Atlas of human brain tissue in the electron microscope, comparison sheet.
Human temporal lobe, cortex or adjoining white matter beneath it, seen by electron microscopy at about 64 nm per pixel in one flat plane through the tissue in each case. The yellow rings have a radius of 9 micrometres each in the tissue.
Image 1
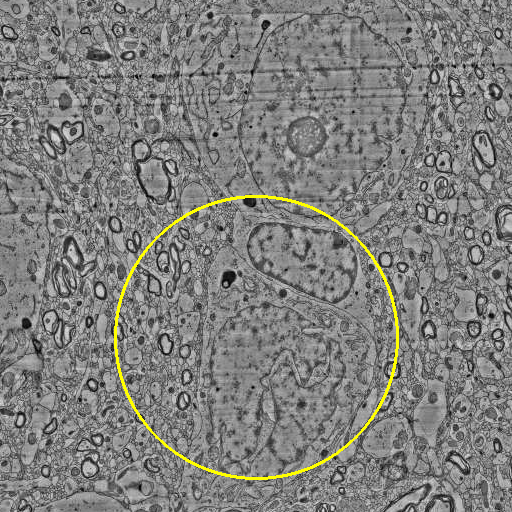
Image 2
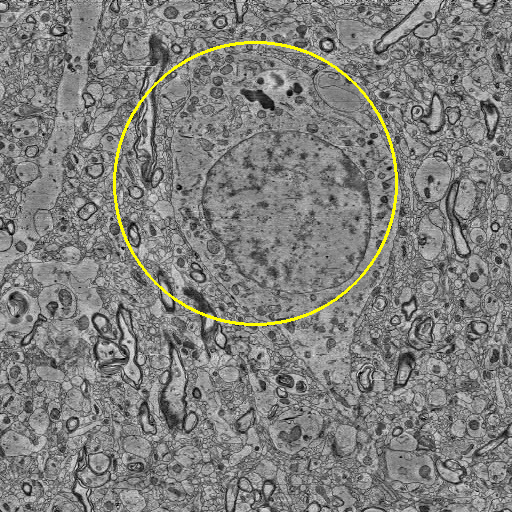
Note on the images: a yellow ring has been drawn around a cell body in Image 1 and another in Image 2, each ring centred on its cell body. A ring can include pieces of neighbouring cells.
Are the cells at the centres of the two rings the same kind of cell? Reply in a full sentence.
Yes, both cells are of the same kind.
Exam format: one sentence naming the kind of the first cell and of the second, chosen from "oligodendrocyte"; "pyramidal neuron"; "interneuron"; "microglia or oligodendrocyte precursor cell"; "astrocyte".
Both pictures show an interneuron at the centre of the ring.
